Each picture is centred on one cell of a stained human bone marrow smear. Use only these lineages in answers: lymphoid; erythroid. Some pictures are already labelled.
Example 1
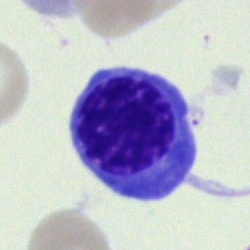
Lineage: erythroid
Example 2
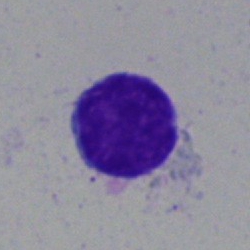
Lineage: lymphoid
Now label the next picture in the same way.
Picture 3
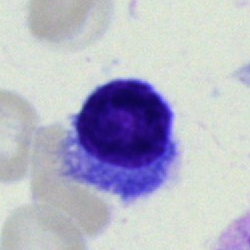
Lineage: lymphoid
